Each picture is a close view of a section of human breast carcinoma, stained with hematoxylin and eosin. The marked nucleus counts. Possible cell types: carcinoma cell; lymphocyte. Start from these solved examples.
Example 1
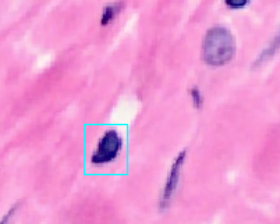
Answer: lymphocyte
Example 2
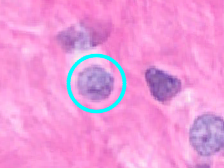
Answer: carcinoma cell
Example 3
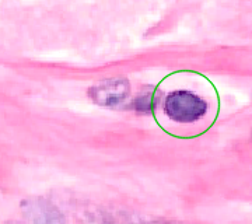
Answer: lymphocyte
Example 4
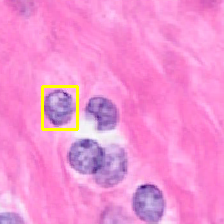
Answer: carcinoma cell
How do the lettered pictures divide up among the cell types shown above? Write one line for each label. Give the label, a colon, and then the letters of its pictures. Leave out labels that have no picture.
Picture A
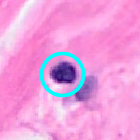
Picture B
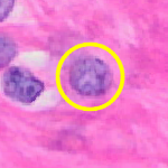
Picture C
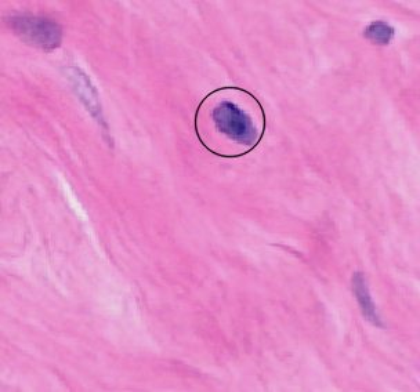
carcinoma cell: B
lymphocyte: A, C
